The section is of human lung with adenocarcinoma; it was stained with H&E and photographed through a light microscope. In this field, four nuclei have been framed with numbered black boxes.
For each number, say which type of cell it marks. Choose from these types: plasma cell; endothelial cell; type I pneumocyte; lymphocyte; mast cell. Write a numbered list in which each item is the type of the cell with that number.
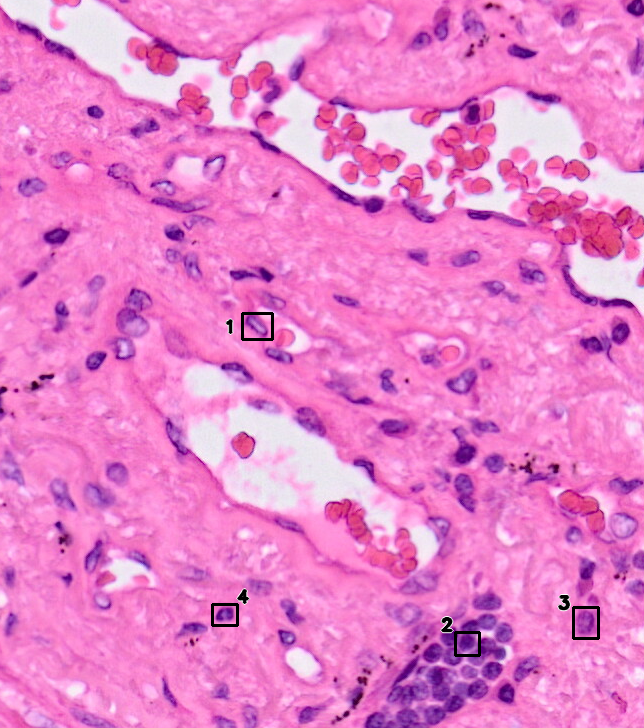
1. endothelial cell
2. lymphocyte
3. plasma cell
4. mast cell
